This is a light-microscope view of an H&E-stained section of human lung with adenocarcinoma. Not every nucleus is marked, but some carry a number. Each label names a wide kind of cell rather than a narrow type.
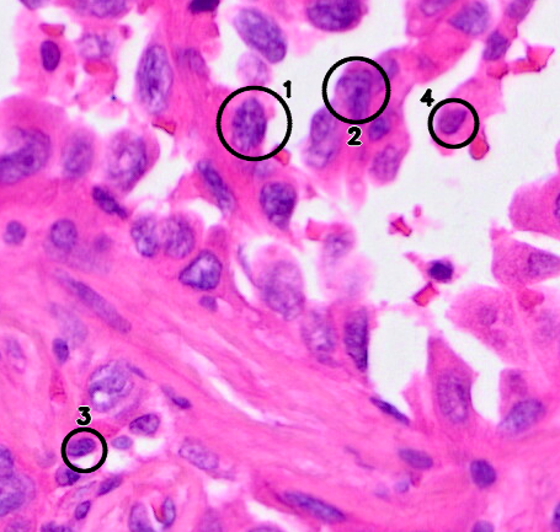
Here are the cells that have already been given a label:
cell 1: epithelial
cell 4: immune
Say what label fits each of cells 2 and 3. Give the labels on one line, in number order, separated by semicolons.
epithelial; immune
